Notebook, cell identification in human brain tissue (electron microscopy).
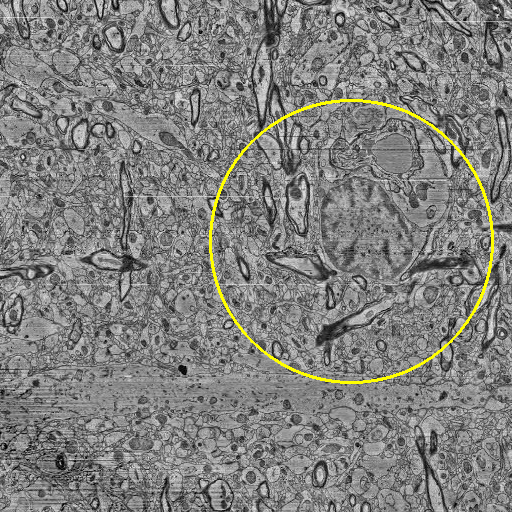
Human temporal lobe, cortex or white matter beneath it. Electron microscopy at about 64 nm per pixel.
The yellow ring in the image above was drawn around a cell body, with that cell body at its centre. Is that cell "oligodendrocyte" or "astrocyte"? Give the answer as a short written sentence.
The cell in the ring is an oligodendrocyte.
